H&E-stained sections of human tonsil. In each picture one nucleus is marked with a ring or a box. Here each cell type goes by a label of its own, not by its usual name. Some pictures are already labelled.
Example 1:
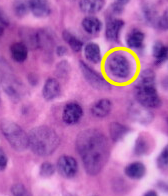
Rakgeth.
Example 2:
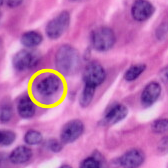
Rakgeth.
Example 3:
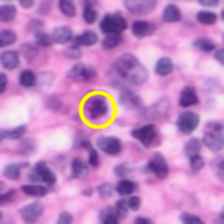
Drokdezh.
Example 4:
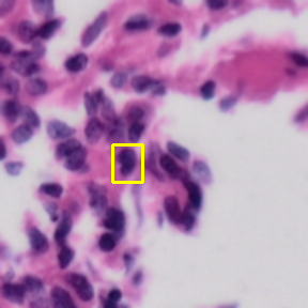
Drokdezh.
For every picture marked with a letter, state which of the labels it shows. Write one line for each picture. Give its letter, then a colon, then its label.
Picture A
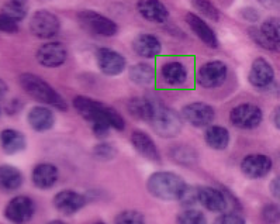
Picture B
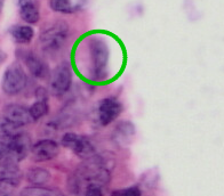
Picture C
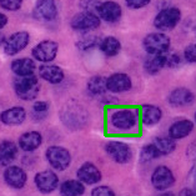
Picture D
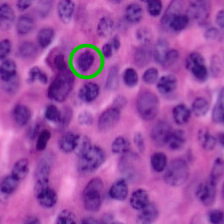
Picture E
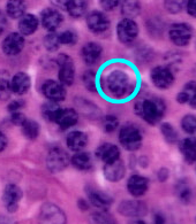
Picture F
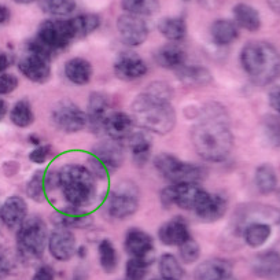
A: Rakgeth.
B: Drokdezh.
C: Rakgeth.
D: Rakgeth.
E: Rakgeth.
F: Drokdezh.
